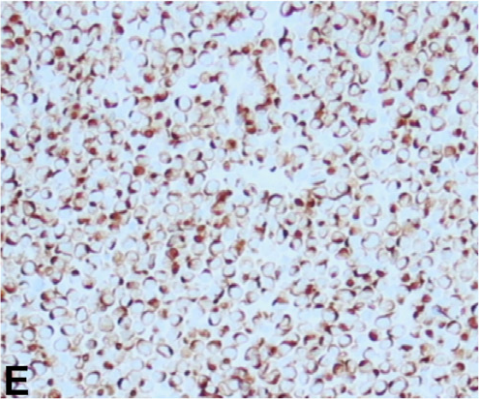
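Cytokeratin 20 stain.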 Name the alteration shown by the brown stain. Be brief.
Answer: Perinuclear dot-like positivity.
